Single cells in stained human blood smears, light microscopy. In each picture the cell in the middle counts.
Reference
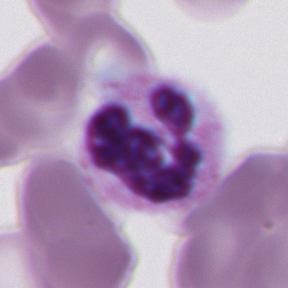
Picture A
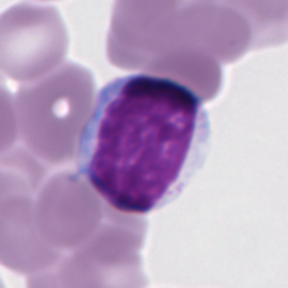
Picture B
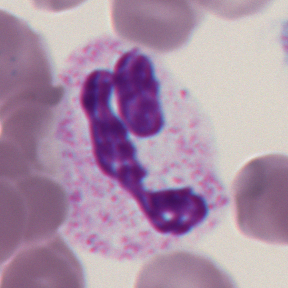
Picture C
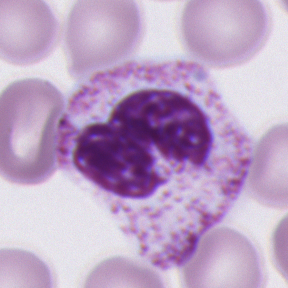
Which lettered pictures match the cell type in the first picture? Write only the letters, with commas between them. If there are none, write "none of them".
B, C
